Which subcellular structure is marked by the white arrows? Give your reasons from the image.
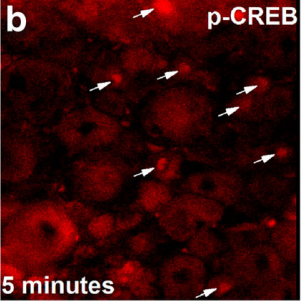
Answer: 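Nuclei. The arrows point to small, bright red round spots. The spots are much smaller than the cell bodies around them.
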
